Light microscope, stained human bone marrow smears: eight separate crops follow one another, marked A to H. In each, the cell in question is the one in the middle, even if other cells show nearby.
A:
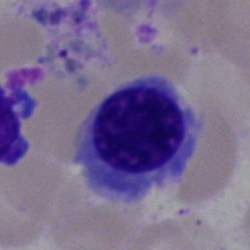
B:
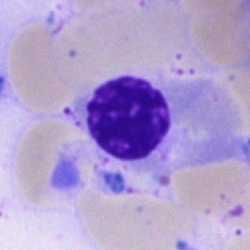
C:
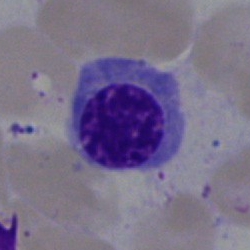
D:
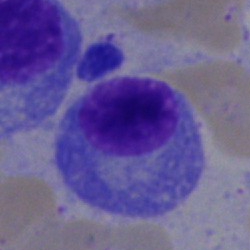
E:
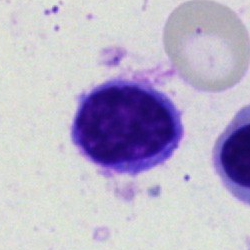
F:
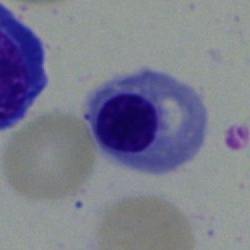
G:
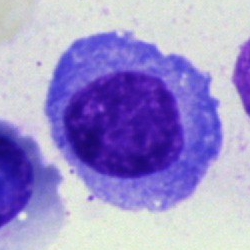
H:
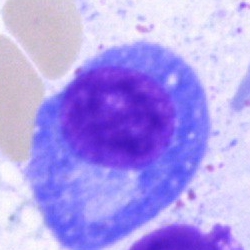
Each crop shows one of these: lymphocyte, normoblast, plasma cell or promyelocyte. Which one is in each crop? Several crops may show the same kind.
A: normoblast
B: normoblast
C: normoblast
D: plasma cell
E: lymphocyte
F: normoblast
G: plasma cell
H: plasma cell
